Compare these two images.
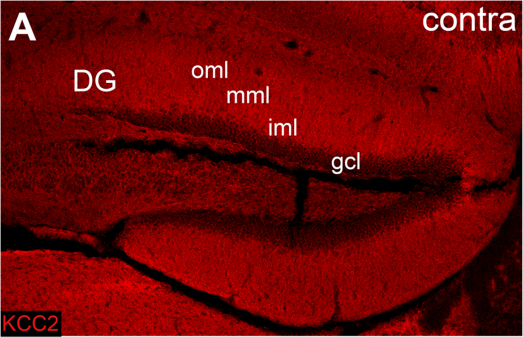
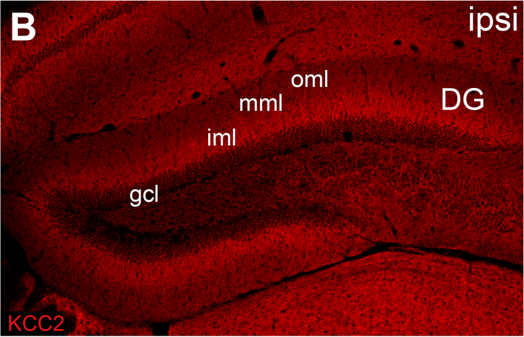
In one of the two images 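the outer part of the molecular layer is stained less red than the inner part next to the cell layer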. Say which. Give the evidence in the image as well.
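The second image. Second image: a brighter red band lies next to the dark cell layer, and the outer molecular layer above it is dimmer. First image: the molecular layer is fairly evenly red from the cell layer to its outer edge.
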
